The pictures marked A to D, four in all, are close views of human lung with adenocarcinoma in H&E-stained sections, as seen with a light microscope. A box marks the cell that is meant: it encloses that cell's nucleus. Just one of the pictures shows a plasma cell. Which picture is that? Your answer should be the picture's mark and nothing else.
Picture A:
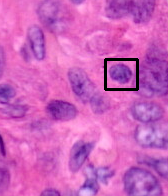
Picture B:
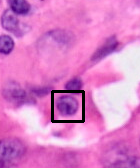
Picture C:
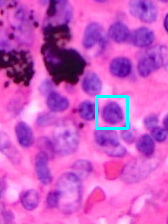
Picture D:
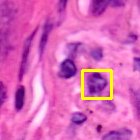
D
